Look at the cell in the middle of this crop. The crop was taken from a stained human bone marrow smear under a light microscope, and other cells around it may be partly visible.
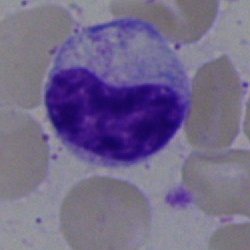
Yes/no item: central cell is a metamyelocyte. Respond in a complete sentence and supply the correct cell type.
Yes, the cell occupying the middle of the crop is a metamyelocyte.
